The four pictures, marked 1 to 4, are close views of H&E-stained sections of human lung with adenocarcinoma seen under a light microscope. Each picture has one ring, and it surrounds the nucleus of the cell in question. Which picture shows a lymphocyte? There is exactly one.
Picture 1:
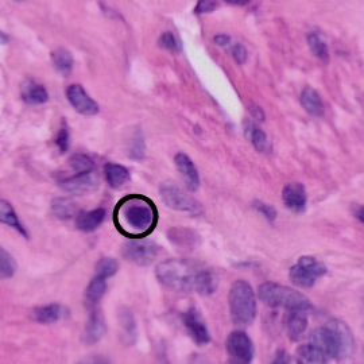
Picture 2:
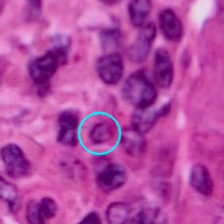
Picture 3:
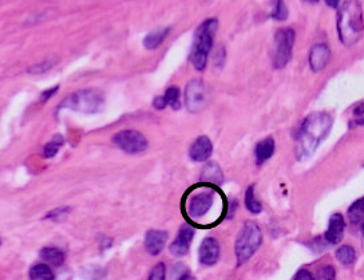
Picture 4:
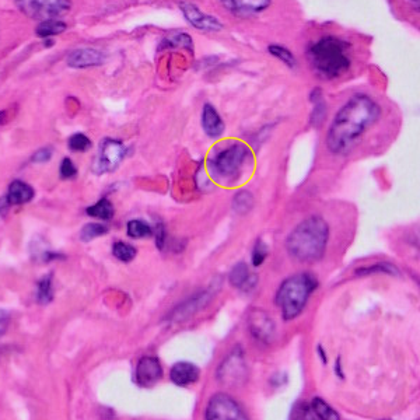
3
